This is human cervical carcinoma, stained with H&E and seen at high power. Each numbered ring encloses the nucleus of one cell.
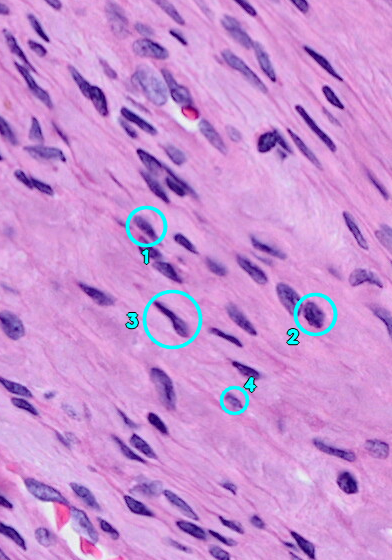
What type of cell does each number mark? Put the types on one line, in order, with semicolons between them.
fibroblast; lymphocyte; fibroblast; smooth muscle cell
